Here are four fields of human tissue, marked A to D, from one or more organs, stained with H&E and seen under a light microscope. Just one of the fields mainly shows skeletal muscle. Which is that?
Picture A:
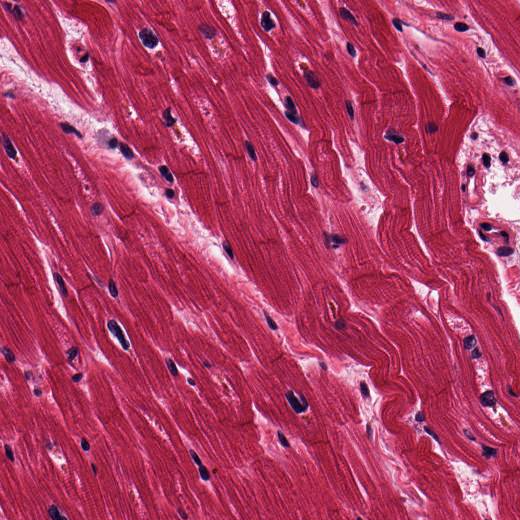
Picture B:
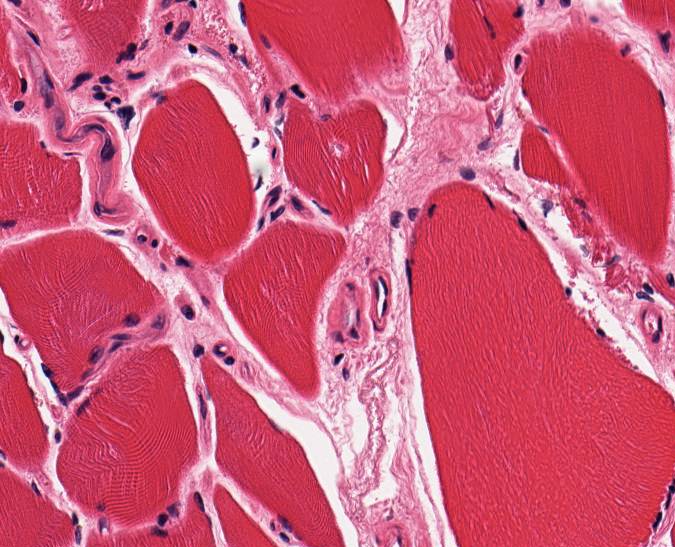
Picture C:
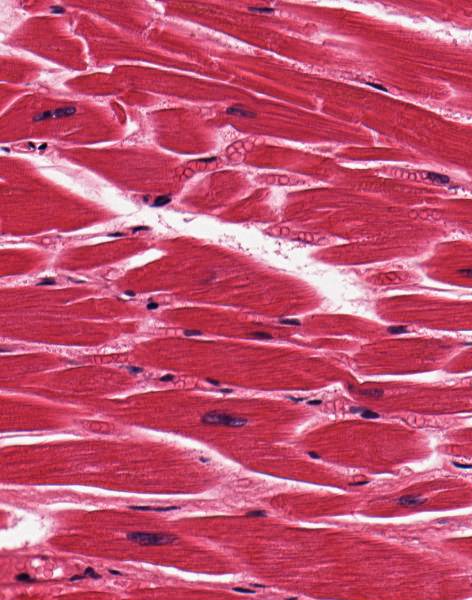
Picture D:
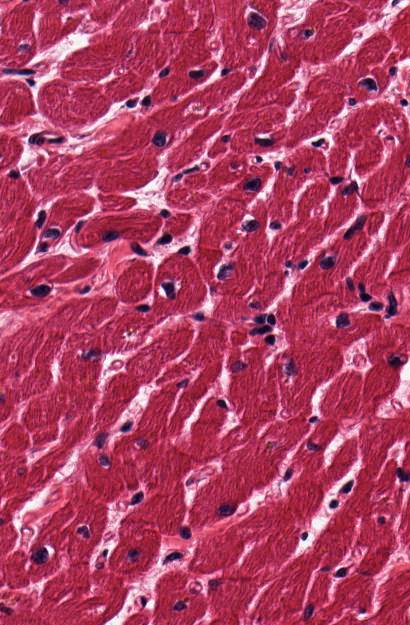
B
